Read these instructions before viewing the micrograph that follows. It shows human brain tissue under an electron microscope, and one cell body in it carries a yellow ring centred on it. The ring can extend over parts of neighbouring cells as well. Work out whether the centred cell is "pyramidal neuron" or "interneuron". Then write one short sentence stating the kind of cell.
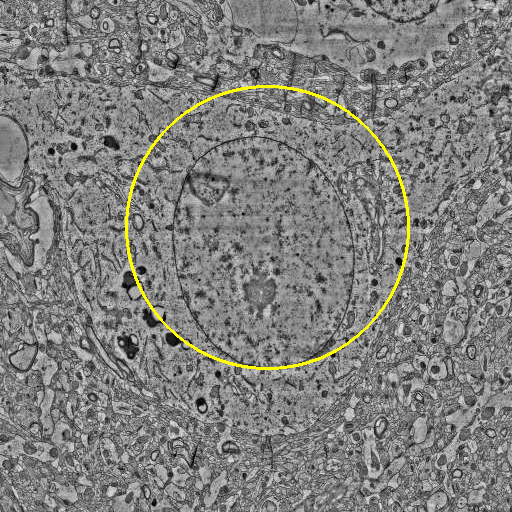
The ringed cell is a pyramidal neuron.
